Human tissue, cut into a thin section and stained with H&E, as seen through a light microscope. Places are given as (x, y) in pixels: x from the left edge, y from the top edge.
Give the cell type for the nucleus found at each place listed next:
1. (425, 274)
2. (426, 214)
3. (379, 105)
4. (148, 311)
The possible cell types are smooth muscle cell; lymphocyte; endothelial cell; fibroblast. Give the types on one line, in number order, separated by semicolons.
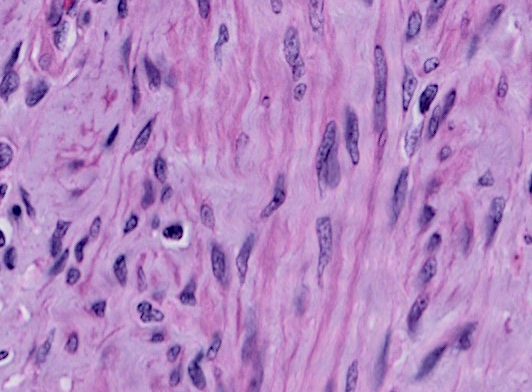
smooth muscle cell; smooth muscle cell; smooth muscle cell; lymphocyte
